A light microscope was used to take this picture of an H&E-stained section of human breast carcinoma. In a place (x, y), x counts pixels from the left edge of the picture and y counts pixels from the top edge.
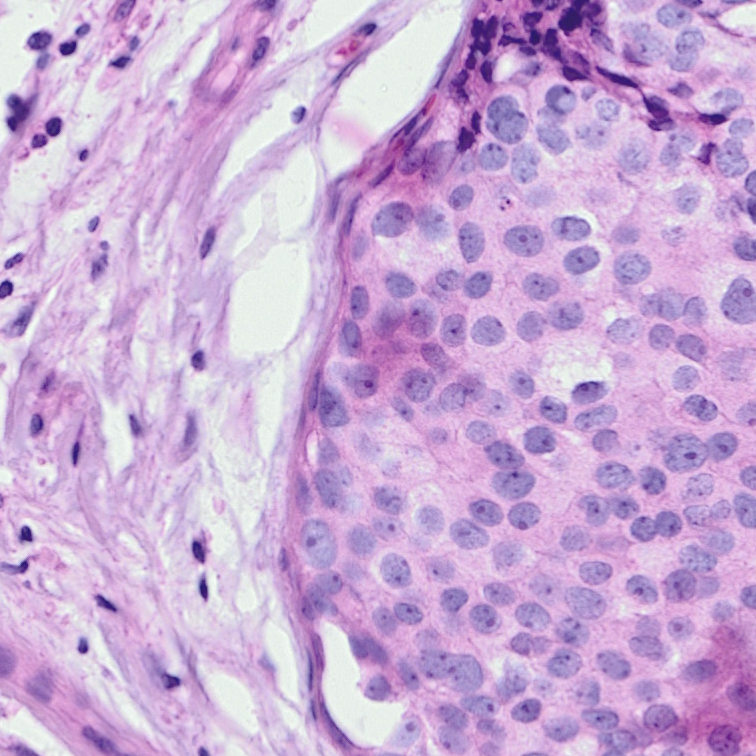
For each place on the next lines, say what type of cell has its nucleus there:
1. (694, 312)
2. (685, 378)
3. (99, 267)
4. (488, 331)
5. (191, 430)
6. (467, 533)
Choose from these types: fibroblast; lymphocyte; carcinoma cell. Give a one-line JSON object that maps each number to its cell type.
{"1": "carcinoma cell", "2": "carcinoma cell", "3": "fibroblast", "4": "carcinoma cell", "5": "fibroblast", "6": "carcinoma cell"}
